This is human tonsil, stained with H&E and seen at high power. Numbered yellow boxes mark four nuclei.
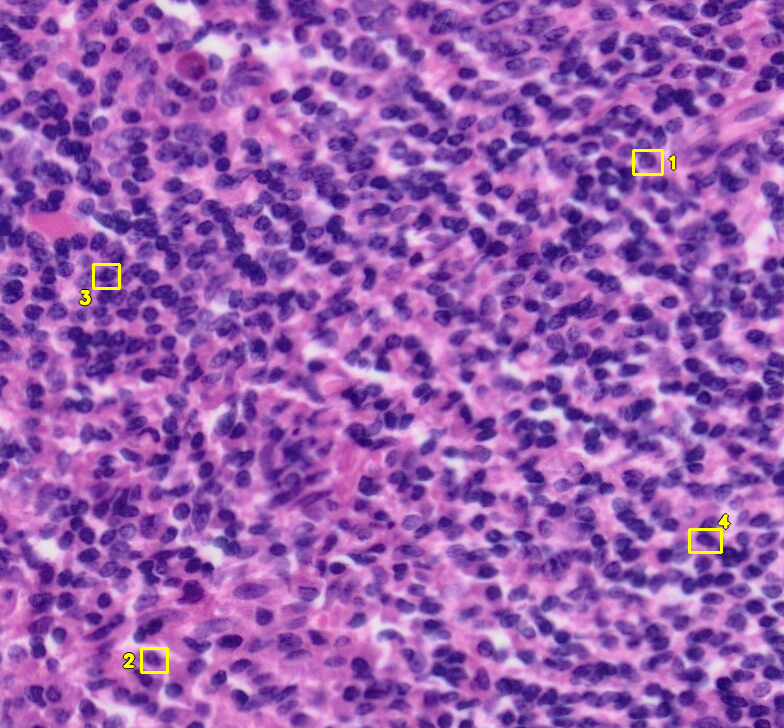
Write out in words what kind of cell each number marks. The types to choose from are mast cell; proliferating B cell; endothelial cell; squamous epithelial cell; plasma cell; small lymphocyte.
Cells 1, 3 and 4 are small lymphocytes. Cell 2 is a plasma cell.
